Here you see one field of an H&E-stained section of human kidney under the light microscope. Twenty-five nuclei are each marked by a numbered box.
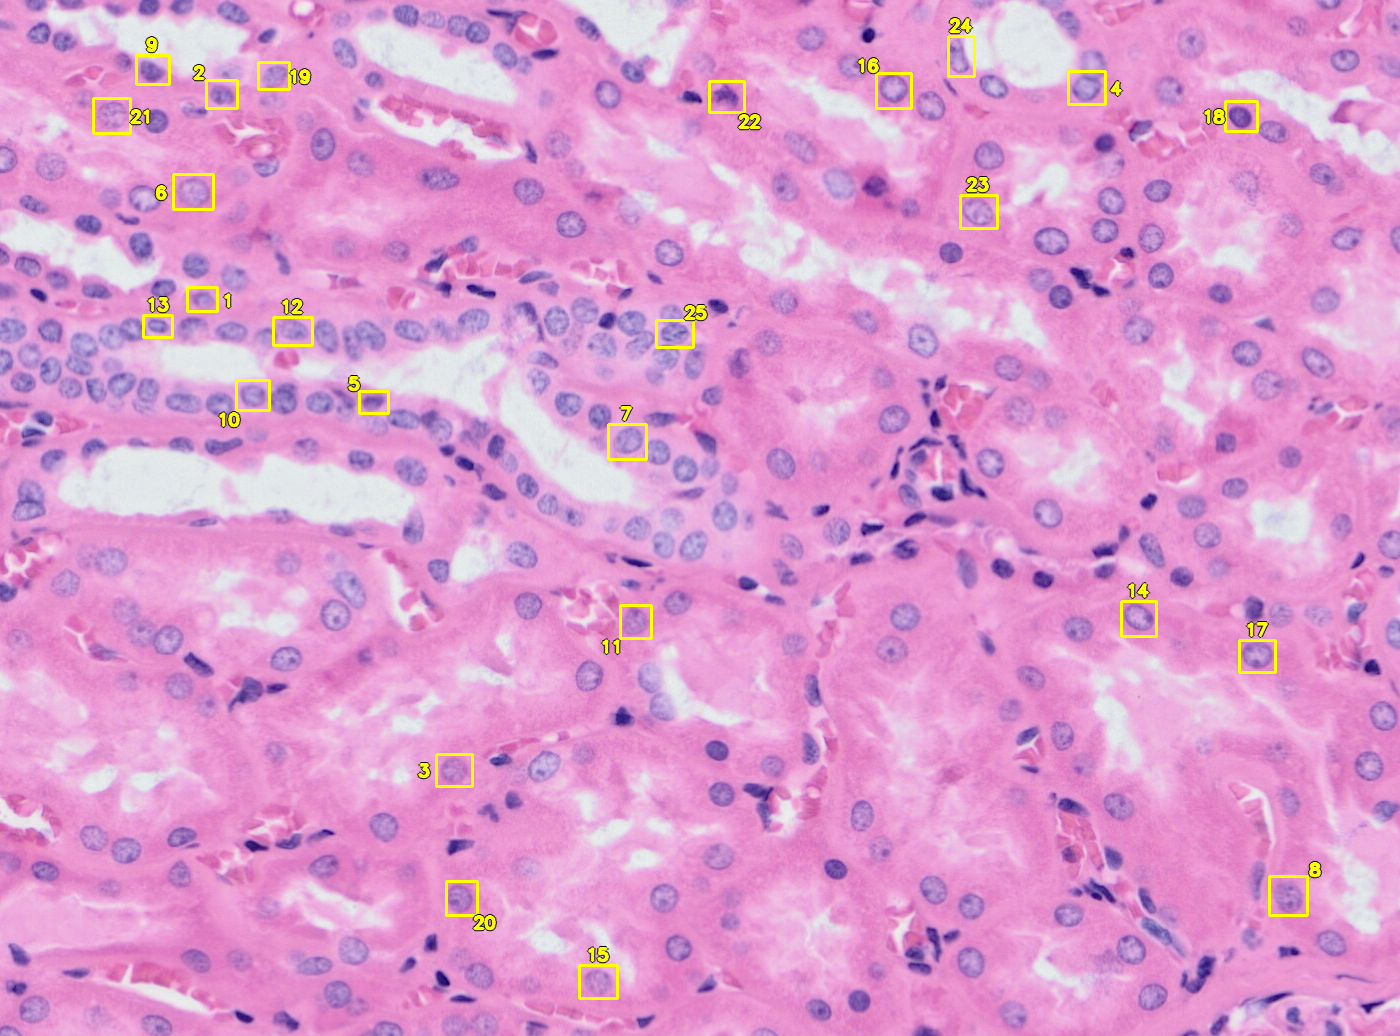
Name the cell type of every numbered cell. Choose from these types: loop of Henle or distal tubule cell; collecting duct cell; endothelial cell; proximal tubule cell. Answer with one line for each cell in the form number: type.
1: loop of Henle or distal tubule cell
2: loop of Henle or distal tubule cell
3: proximal tubule cell
4: loop of Henle or distal tubule cell
5: collecting duct cell
6: proximal tubule cell
7: collecting duct cell
8: proximal tubule cell
9: loop of Henle or distal tubule cell
10: collecting duct cell
11: proximal tubule cell
12: collecting duct cell
13: collecting duct cell
14: proximal tubule cell
15: proximal tubule cell
16: proximal tubule cell
17: proximal tubule cell
18: proximal tubule cell
19: loop of Henle or distal tubule cell
20: proximal tubule cell
21: proximal tubule cell
22: proximal tubule cell
23: proximal tubule cell
24: loop of Henle or distal tubule cell
25: collecting duct cell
